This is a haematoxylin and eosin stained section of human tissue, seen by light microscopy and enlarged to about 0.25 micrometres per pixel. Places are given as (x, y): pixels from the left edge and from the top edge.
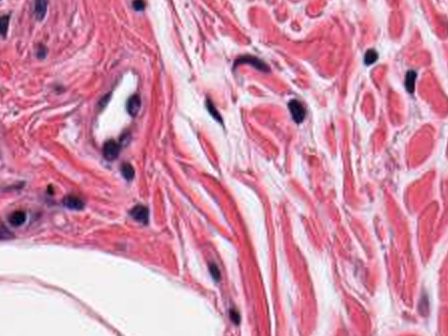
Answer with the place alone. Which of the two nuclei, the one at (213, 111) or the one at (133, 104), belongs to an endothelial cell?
(133, 104)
